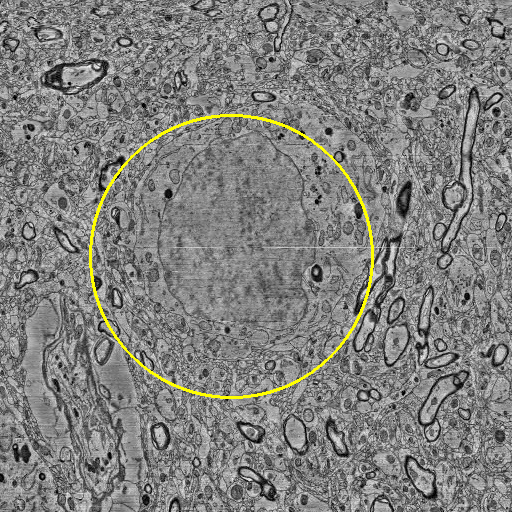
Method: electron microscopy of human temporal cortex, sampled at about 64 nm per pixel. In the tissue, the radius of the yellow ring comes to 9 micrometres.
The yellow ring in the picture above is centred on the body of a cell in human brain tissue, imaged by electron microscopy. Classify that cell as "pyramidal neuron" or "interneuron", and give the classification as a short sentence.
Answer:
The cell in the middle of the ring is an interneuron.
